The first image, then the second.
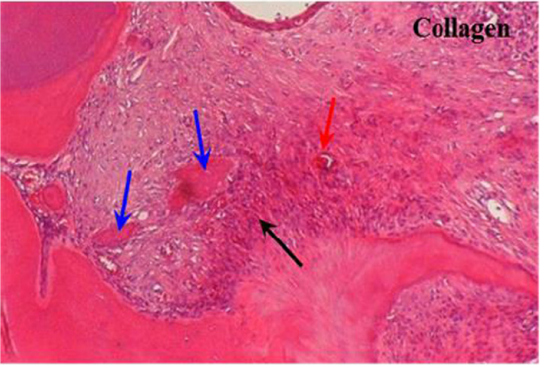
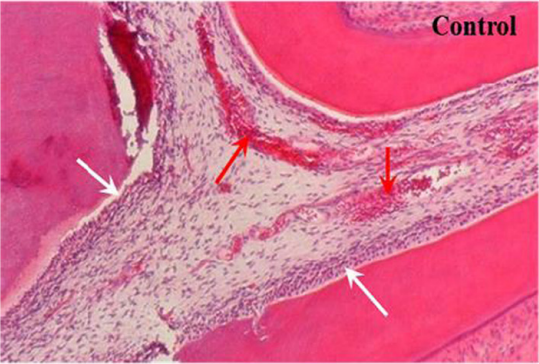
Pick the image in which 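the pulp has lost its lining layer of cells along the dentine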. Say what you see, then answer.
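First image: no continuous row of dark nuclei along the dentine; the pulp edge is irregular with dense cell masses and pink deposits. Second image: a distinct dense band of dark nuclei lines both dentine walls.
Answer: the first image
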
